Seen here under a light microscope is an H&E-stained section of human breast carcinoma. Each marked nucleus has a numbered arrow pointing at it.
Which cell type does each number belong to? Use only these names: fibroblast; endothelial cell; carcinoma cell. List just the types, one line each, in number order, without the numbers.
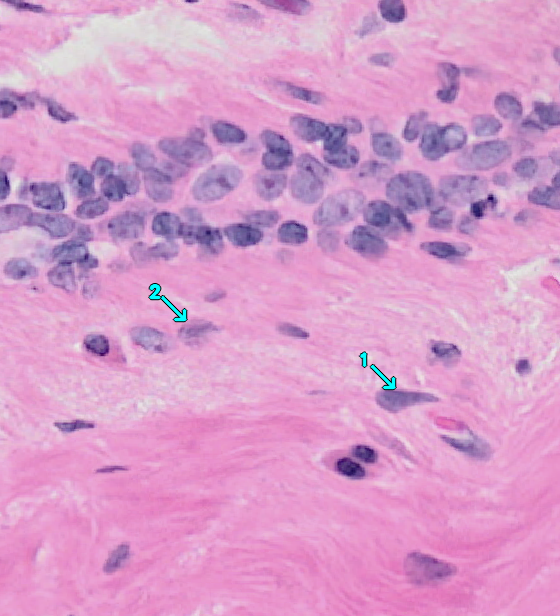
endothelial cell
fibroblast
